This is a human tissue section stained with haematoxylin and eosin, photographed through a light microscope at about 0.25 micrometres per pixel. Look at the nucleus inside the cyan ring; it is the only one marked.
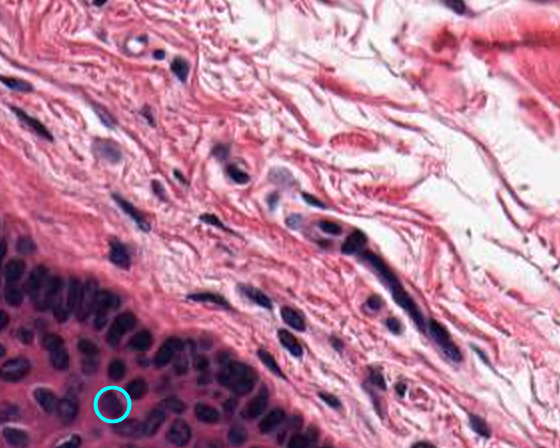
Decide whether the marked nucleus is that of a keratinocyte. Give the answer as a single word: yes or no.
yes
